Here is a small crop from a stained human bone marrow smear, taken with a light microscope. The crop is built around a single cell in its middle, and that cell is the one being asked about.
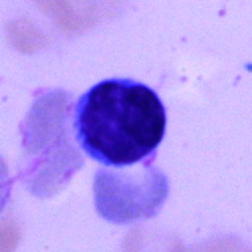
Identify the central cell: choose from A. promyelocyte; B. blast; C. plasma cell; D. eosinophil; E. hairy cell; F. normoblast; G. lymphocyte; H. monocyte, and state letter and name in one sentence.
Since the cell in the centre is a lymphocyte, the correct option is G.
